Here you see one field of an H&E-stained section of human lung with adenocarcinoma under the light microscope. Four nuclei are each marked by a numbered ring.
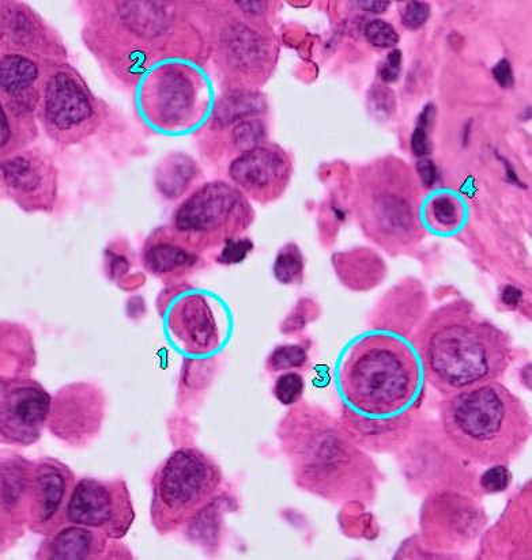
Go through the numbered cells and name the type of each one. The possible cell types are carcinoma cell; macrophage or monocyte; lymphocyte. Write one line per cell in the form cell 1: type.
cell 1: macrophage or monocyte
cell 2: carcinoma cell
cell 3: carcinoma cell
cell 4: lymphocyte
